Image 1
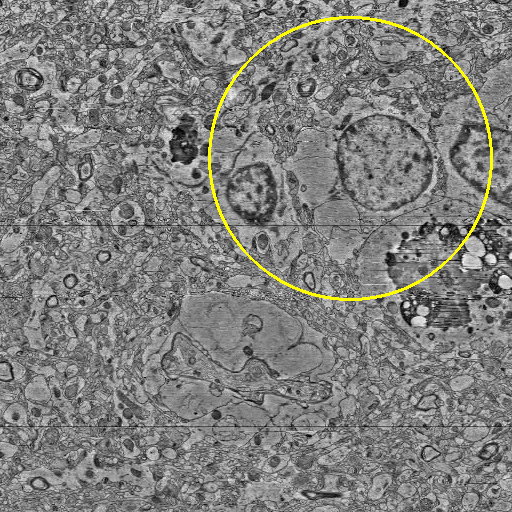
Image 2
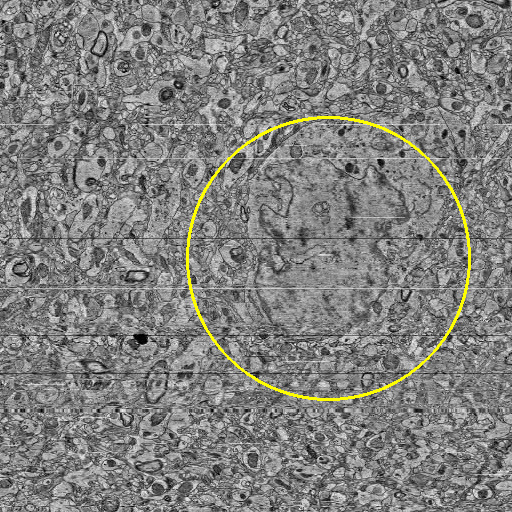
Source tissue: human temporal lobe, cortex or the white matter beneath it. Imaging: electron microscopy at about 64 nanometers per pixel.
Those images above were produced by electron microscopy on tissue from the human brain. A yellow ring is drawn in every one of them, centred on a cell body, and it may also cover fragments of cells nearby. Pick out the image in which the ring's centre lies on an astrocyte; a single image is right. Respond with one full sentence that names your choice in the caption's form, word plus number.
Image 1 is my choice: its ring is centred on the requested cell.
